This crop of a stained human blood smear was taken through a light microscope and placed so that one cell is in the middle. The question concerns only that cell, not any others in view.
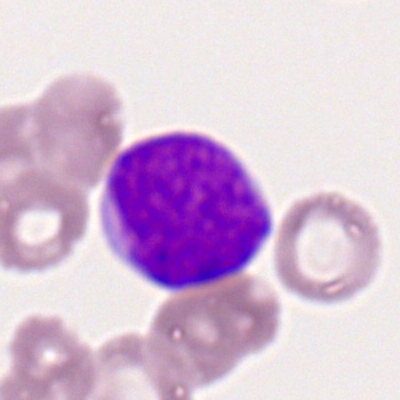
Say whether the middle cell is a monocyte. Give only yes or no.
no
